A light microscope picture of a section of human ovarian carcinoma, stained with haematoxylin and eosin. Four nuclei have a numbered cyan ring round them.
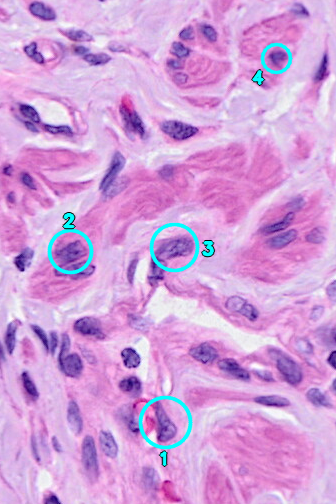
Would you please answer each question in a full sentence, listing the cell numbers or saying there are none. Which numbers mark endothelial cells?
Identified as endothelial cells are the cells numbered 1 and 3.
